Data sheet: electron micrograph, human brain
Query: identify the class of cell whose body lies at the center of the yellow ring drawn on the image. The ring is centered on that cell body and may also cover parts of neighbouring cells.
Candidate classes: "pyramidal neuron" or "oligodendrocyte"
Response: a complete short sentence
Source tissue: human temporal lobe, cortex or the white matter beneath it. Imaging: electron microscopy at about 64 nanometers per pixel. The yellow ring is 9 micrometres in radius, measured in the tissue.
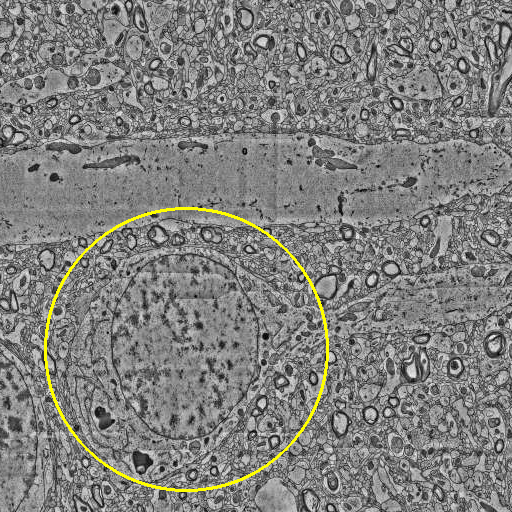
At the center of the ring lies a pyramidal neuron.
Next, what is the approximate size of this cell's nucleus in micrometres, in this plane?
The nucleus comes to roughly 12 by 10 micrometres in this plane.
